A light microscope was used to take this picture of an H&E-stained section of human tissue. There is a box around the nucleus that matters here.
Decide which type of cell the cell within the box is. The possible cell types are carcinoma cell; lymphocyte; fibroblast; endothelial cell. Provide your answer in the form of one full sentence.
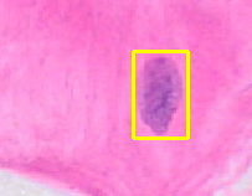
The classification of the cell within the box is as a fibroblast.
